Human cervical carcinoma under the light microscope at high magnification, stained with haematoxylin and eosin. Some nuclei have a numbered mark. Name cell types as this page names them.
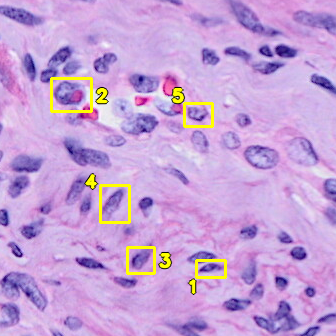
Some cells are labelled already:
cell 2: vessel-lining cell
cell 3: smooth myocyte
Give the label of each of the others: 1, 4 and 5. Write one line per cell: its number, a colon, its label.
1: smooth myocyte
4: smooth myocyte
5: vessel-lining cell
